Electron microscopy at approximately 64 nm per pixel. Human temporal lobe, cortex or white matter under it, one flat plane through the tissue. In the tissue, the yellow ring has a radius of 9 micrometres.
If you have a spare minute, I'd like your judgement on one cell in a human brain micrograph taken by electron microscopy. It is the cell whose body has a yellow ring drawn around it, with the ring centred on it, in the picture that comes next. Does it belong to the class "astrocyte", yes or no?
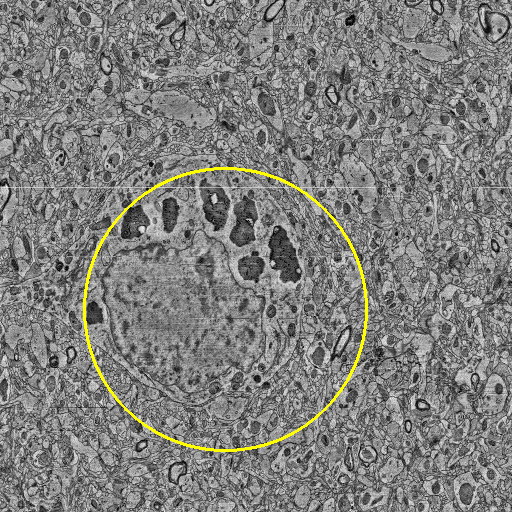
No, it belongs to another class.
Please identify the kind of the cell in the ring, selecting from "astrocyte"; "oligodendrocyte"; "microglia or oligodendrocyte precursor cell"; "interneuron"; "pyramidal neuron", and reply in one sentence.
The cell that the ring is centred on is an interneuron.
